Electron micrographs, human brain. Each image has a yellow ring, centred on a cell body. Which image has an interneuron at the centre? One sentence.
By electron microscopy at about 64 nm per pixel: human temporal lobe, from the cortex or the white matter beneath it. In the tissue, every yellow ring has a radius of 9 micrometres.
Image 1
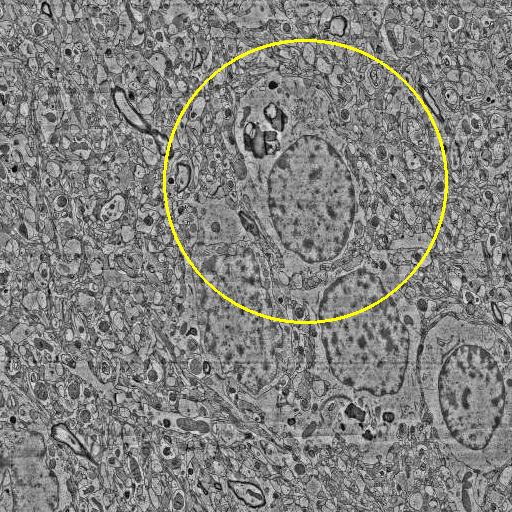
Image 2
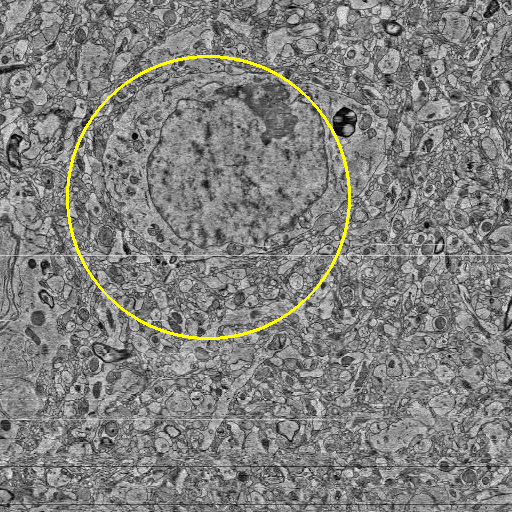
The ring in Image 2 is centred on it.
